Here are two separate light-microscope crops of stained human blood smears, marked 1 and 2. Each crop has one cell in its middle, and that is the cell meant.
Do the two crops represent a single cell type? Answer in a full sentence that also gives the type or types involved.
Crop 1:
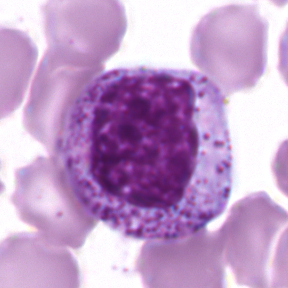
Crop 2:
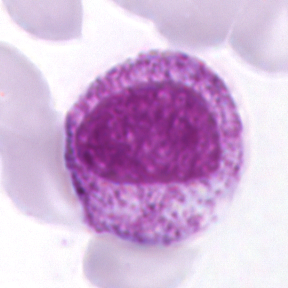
Yes, the centred cells are myelocytes in both crops.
